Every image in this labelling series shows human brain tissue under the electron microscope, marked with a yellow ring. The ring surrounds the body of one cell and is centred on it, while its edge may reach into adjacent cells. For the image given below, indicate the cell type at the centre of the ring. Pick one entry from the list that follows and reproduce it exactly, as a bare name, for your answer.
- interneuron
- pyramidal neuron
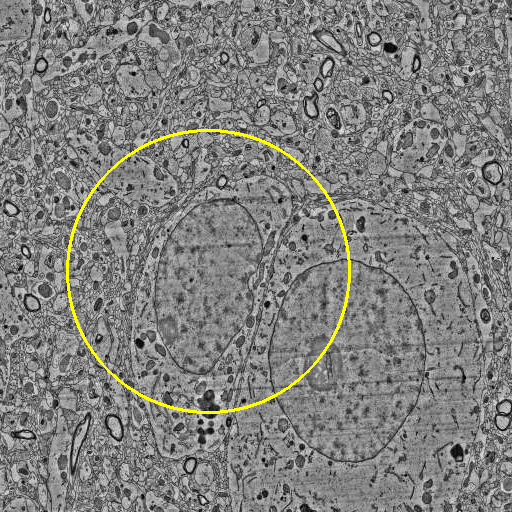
interneuron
